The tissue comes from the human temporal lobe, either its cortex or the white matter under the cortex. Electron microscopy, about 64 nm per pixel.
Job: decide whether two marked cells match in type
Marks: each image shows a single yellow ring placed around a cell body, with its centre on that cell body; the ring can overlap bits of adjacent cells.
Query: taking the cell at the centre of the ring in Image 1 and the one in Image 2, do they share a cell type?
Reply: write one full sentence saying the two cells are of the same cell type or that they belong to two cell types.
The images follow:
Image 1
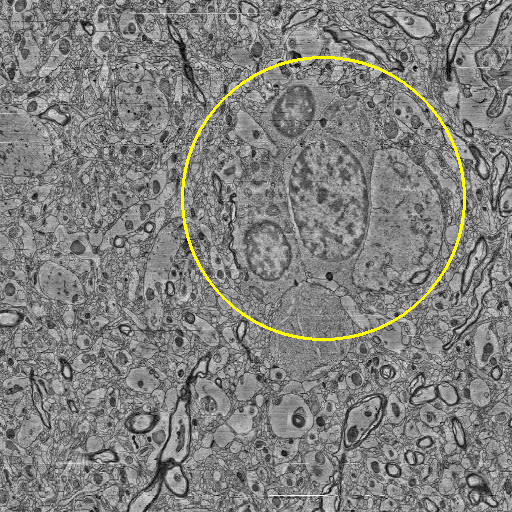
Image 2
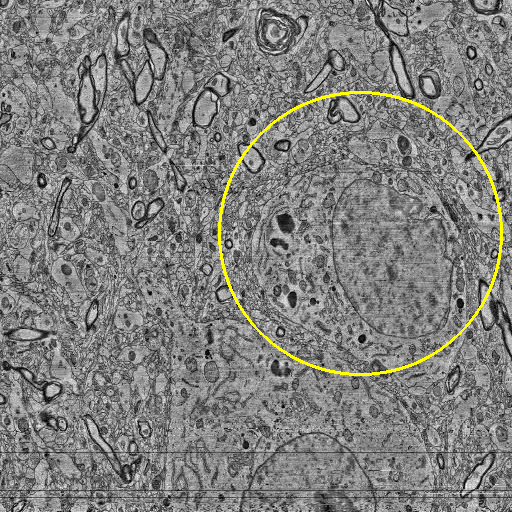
The cells at the ring centres in Image 1 and Image 2 belong to two cell types.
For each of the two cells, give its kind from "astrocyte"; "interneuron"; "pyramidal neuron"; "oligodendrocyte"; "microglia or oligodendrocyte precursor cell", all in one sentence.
The first picture has an oligodendrocyte in its ring, the second has an interneuron.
